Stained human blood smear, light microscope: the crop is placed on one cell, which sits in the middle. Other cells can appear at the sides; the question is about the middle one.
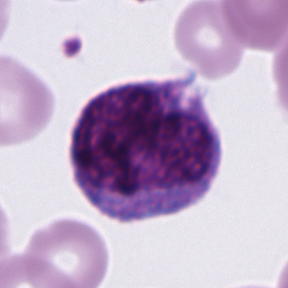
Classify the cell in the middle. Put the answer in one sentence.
This crop's central cell is a monocyte.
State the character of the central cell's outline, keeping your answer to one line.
The outer contour of the cell is irregular, with ragged portions or projections along it.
